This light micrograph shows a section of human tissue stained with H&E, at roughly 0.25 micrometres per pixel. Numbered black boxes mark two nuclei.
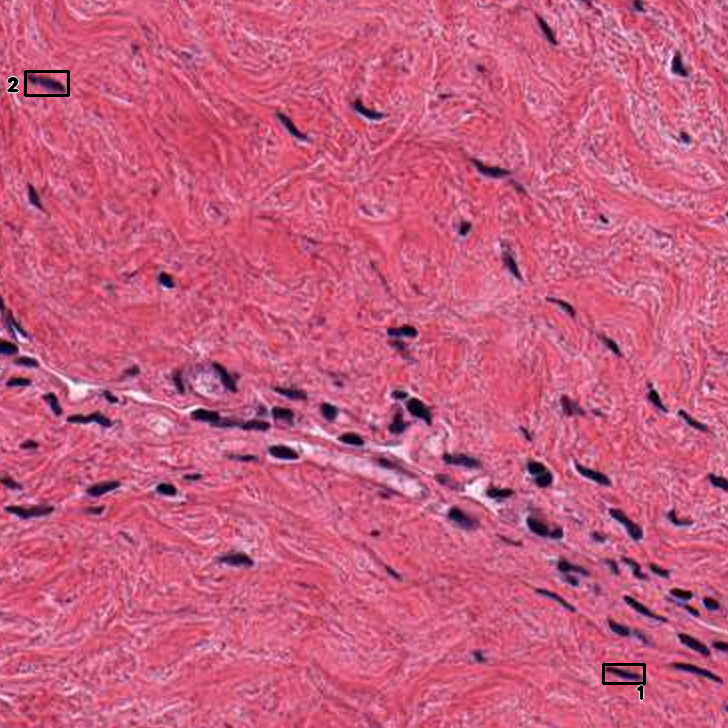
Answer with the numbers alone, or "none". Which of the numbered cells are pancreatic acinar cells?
none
